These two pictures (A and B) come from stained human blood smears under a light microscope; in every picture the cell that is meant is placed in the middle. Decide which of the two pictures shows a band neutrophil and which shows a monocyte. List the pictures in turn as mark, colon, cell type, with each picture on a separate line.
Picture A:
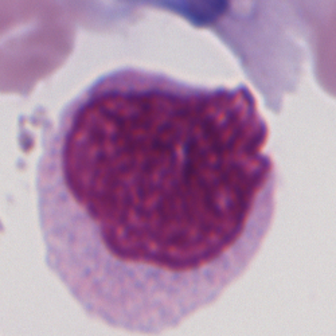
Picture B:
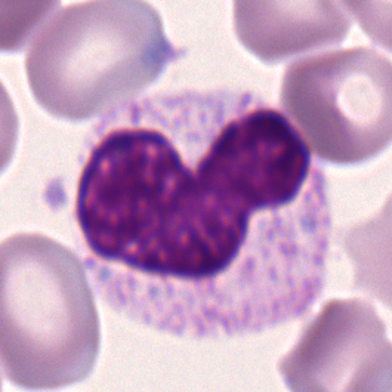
A: monocyte
B: band neutrophil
